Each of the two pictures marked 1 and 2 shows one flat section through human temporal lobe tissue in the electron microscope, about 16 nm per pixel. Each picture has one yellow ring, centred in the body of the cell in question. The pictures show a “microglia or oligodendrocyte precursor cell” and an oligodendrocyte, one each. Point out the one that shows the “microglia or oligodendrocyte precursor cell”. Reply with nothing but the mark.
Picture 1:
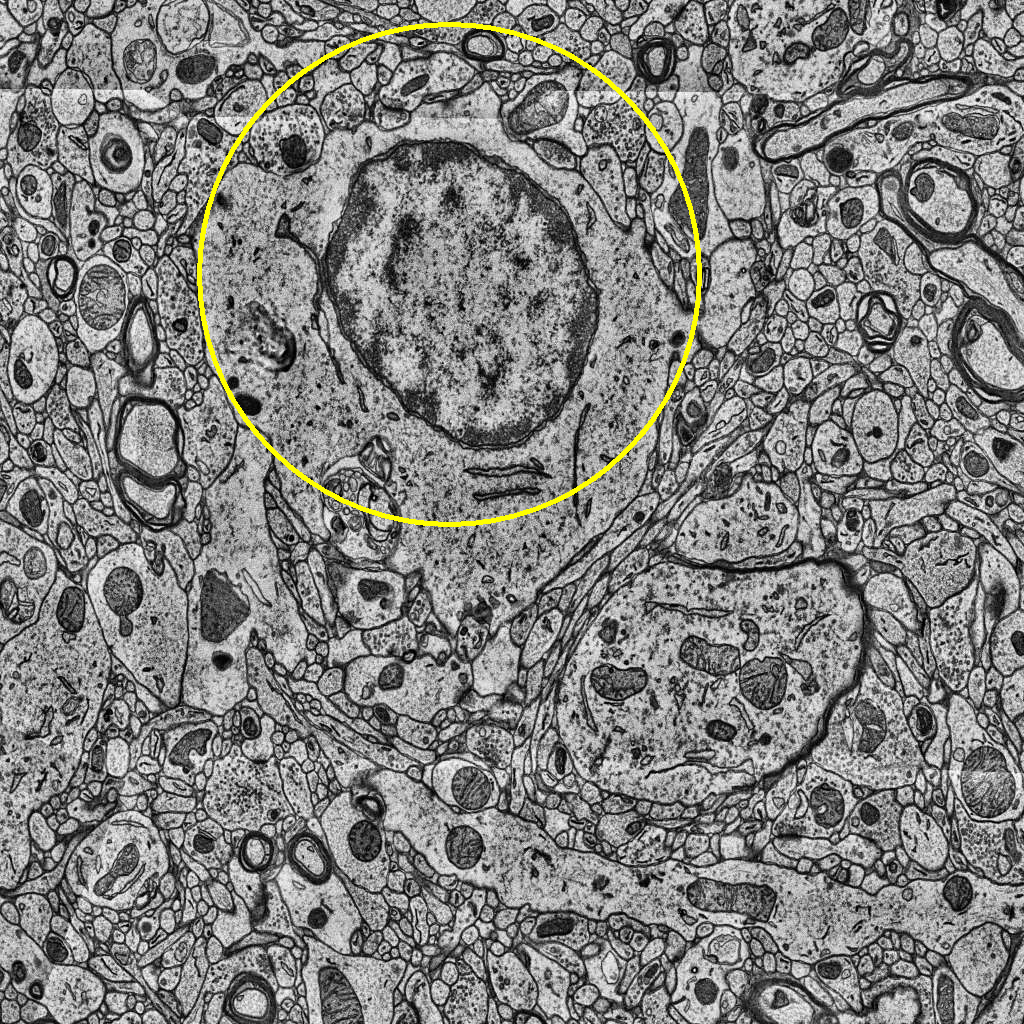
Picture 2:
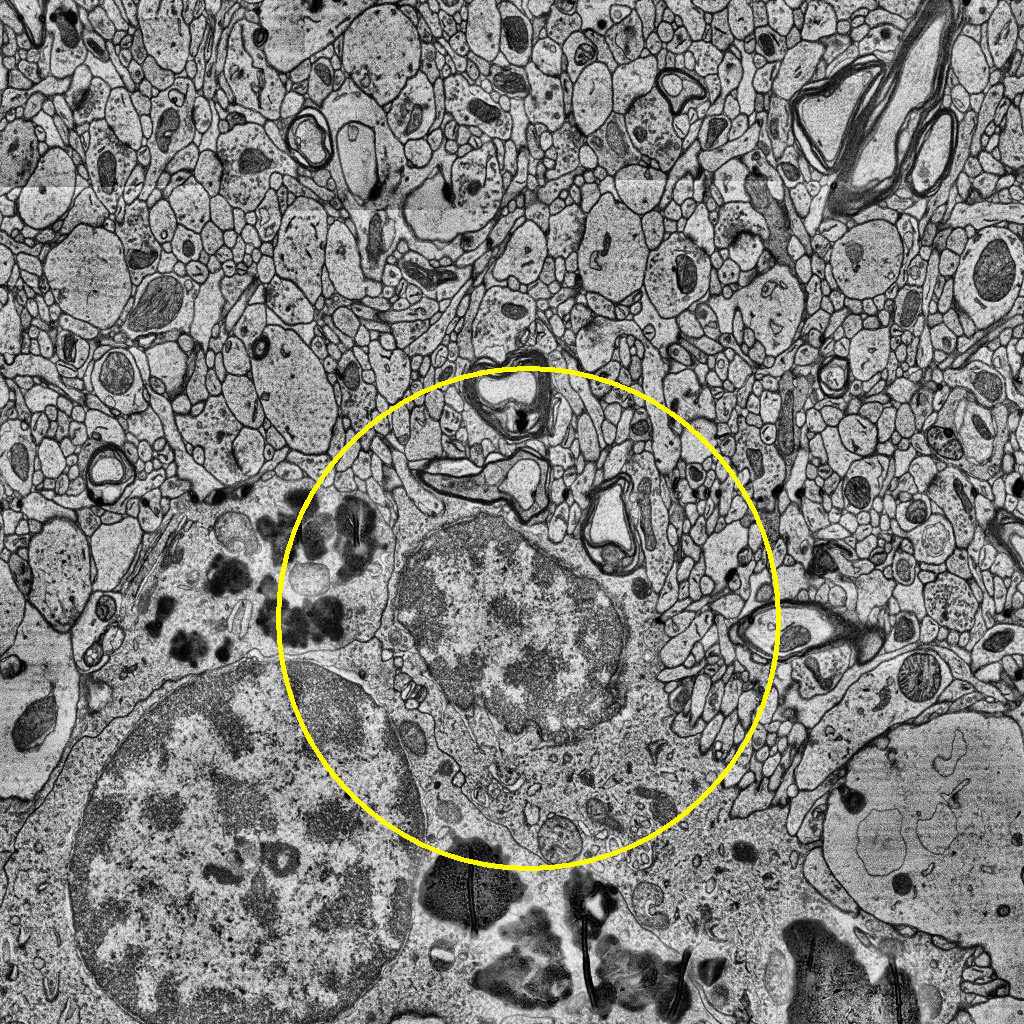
1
